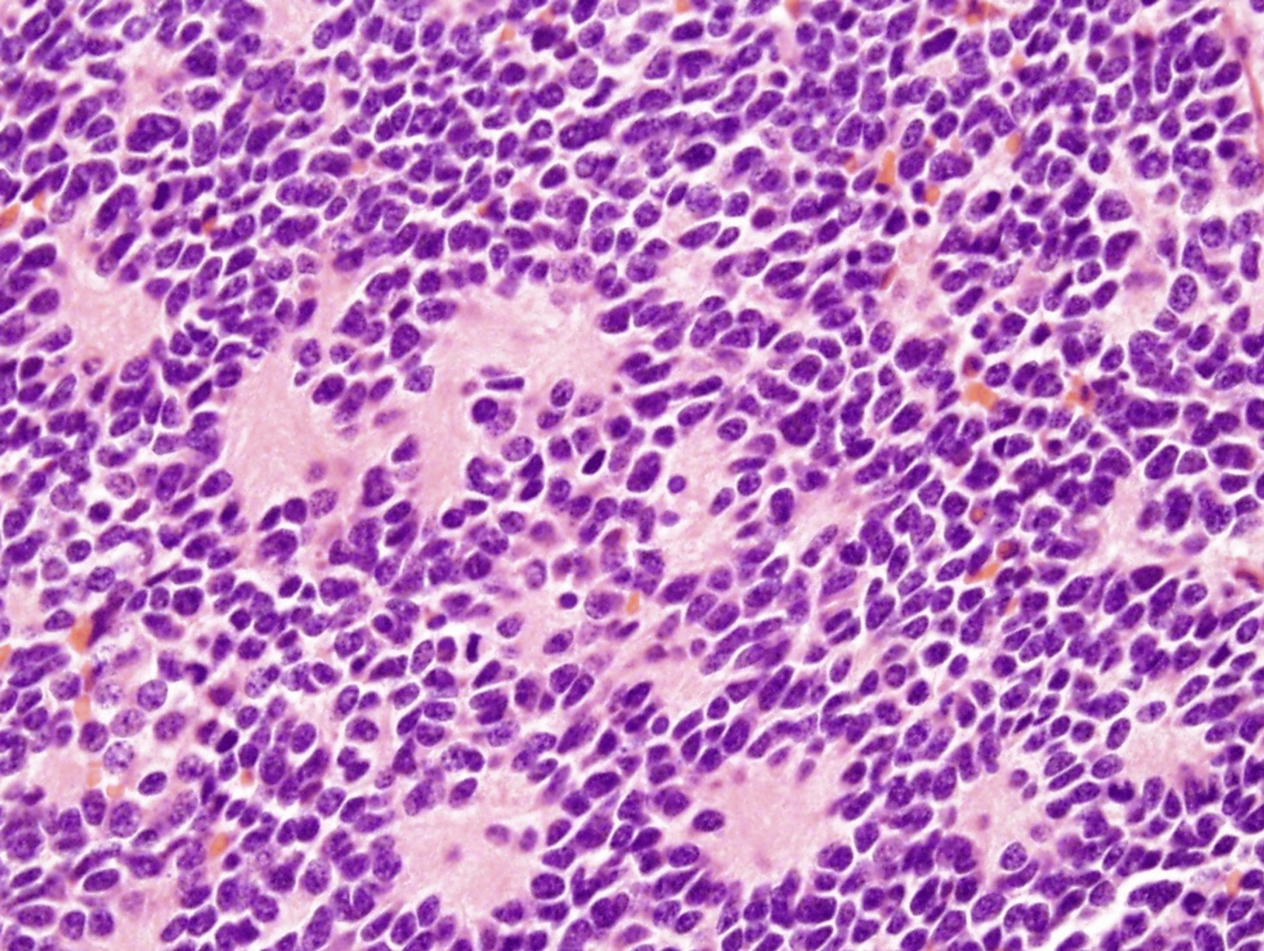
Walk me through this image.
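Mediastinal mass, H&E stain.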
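This is a tumour made of a dense sheet of small, round, blue cells, consistent with neuroblasts. The nuclei are round to oval, dark purple and crowded together, with finely granular chromatin and very little cytoplasm around them. In many places the nuclei form rings around central cores of pale pink fibrillary material, giving Homer-Wright rosettes. Similar pale pink fibrillary neuropil also lies in irregular patches between the groups of cells. Scattered small orange-red red blood cells are seen between the tumour cells.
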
